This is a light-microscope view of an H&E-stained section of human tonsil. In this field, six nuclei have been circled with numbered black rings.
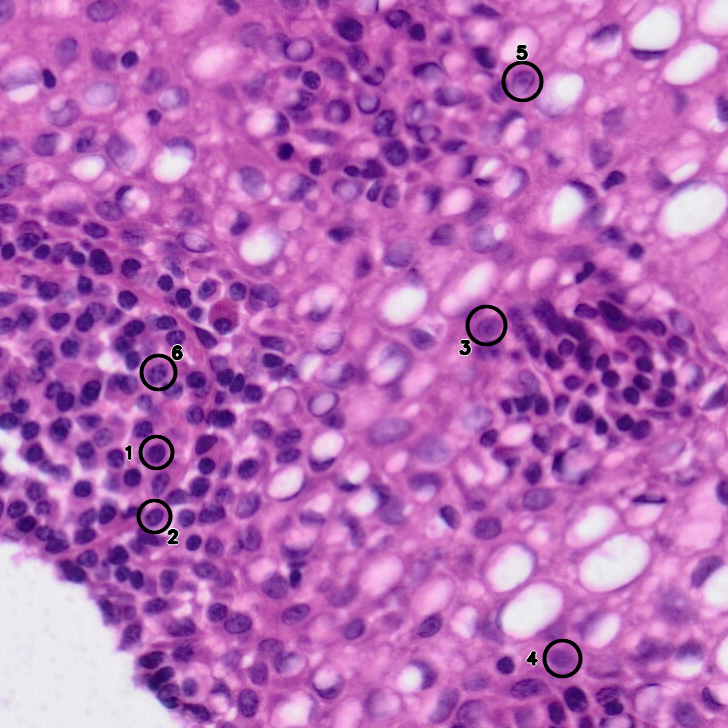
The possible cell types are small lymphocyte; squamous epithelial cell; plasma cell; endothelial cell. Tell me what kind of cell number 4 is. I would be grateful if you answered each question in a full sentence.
The cell assigned the number 4 is a squamous epithelial cell.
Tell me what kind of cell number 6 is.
The cell referenced by the number 6 is a plasma cell in this field.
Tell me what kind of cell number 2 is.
Among the marked cells, number 2 is a plasma cell.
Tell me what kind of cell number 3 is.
Heads up, the cell numbered 3 is a squamous epithelial cell.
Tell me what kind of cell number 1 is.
The nucleus with number 1 is that of a plasma cell.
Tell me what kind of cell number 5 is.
Among the marked nuclei, number 5 belongs to a squamous epithelial cell.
